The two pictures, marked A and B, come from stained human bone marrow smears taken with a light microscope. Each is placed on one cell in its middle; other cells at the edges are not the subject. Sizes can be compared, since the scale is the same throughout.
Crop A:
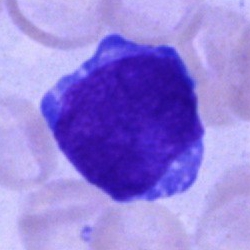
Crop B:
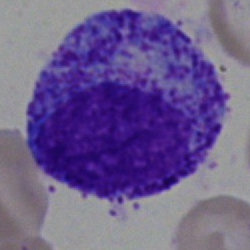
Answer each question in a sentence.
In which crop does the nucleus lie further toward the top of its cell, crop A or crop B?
The nucleus in crop A lies further toward the top of its cell.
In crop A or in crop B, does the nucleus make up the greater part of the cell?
The nucleus fills more of the cell in crop A than in crop B.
